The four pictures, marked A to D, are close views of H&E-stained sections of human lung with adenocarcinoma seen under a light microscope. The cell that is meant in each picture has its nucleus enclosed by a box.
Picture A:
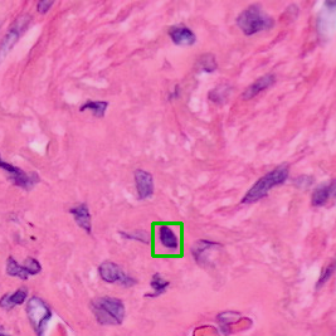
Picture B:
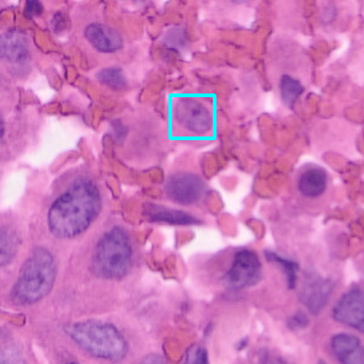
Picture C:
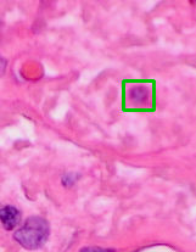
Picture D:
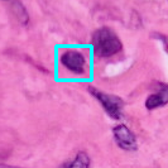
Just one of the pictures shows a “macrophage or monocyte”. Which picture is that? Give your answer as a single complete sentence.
The picture with the “macrophage or monocyte” is B.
